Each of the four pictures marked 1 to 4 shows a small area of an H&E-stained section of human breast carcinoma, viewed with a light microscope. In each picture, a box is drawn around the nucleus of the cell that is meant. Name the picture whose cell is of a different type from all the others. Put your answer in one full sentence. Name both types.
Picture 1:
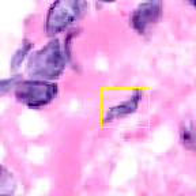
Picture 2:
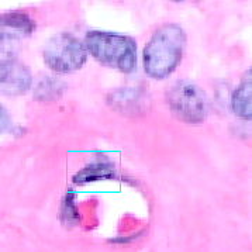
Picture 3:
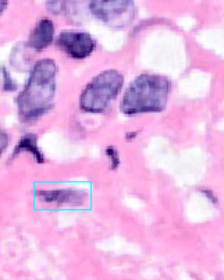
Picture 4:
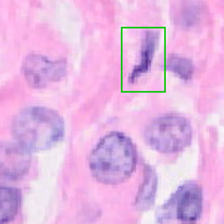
Picture 2 is the odd one out: it shows an endothelial cell, while the others show fibroblasts.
